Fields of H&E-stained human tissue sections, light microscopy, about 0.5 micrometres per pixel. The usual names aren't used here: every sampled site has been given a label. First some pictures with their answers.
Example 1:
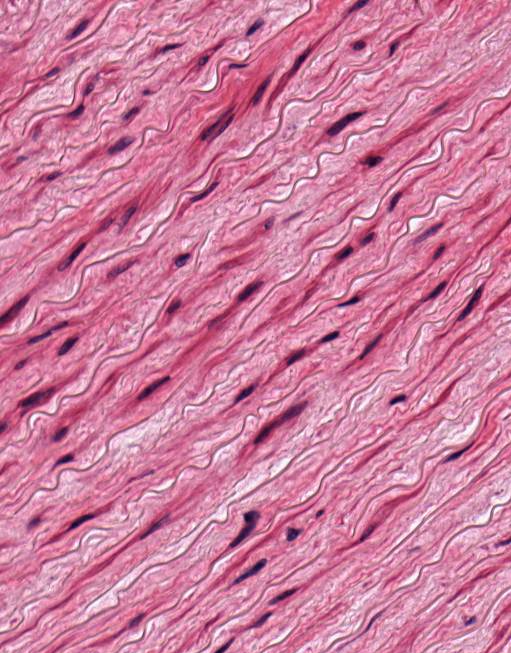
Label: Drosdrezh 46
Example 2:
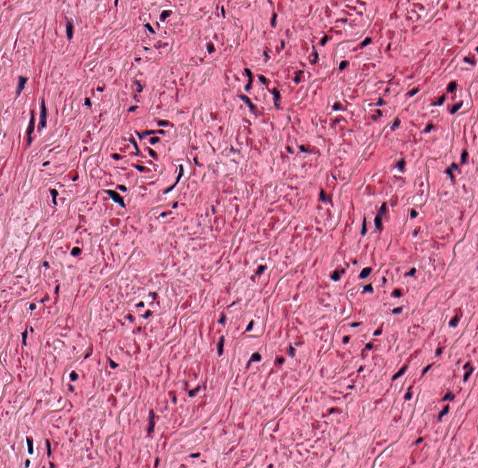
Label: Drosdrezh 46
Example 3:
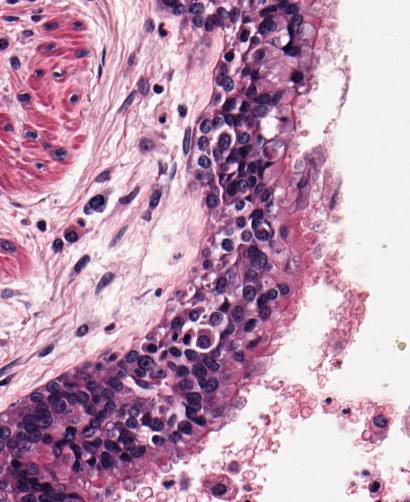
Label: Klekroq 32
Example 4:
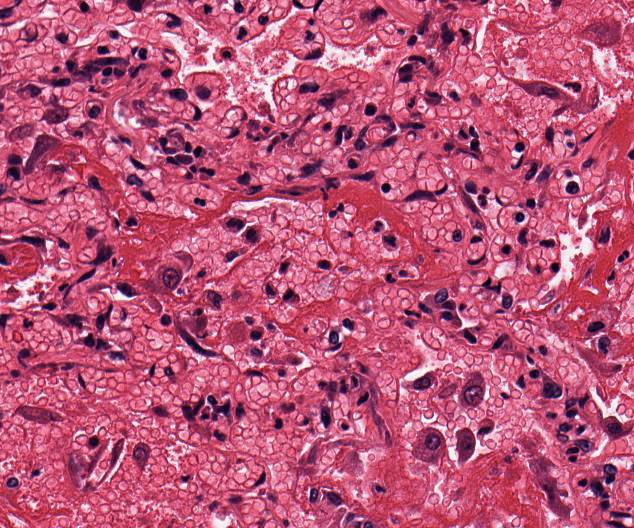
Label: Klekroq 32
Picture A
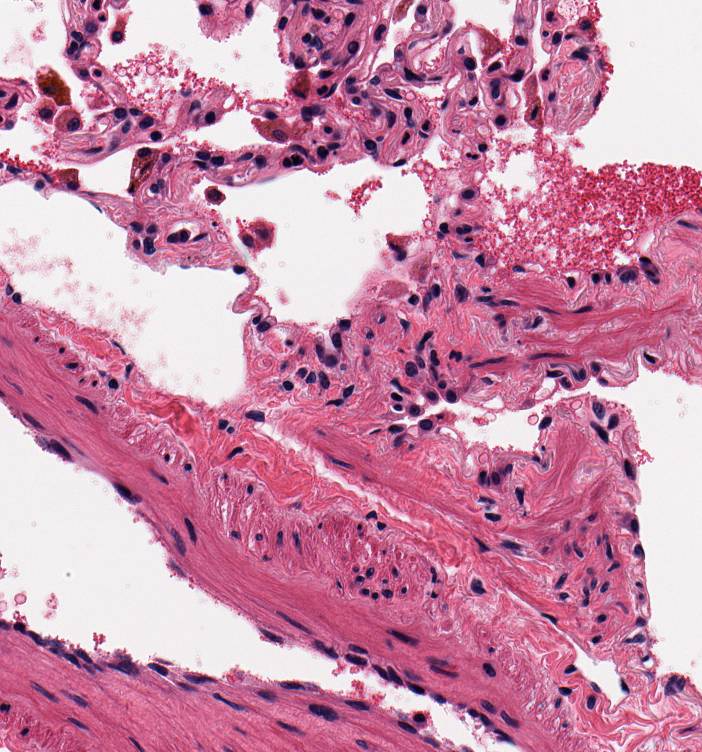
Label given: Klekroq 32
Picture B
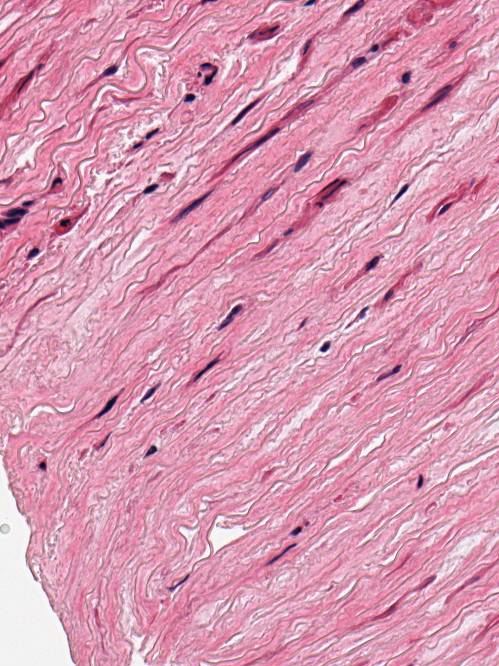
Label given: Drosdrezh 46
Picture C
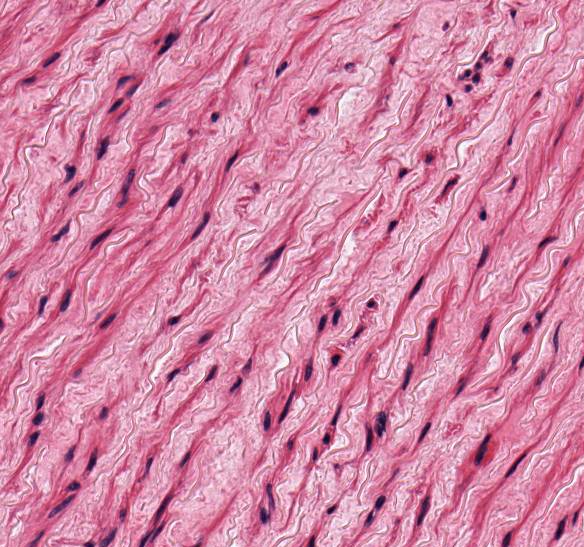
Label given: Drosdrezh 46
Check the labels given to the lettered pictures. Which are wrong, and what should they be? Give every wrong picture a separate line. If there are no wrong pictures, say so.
No label is wrong.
